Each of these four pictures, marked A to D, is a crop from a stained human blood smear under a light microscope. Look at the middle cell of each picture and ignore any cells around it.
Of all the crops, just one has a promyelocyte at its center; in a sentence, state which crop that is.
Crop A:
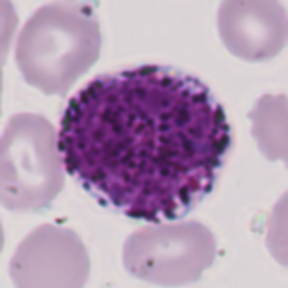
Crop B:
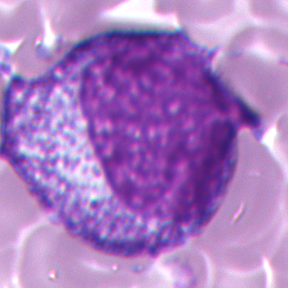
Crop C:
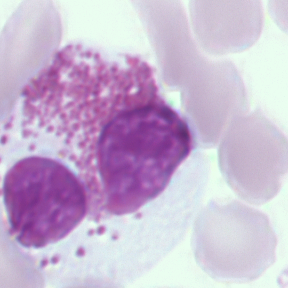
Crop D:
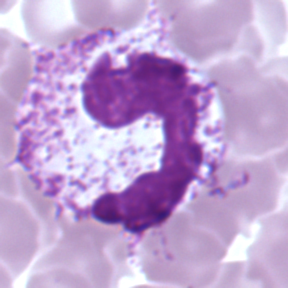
Identified crop: B, the one that shows a promyelocyte.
